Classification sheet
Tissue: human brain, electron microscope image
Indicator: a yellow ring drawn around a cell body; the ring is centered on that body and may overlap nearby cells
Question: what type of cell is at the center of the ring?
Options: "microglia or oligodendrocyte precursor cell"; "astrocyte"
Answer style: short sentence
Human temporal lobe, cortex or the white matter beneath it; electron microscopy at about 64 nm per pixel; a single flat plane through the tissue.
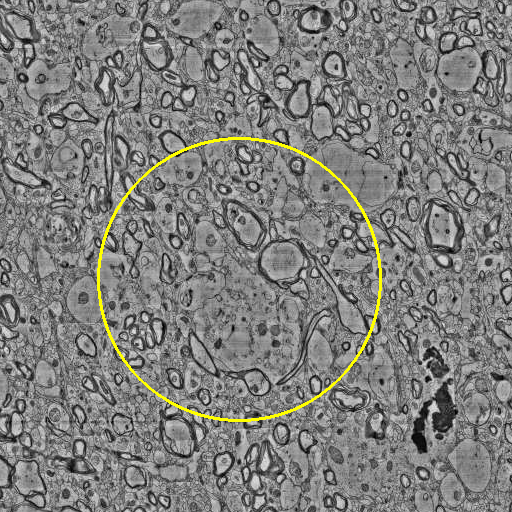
At the ring's center is an astrocyte.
